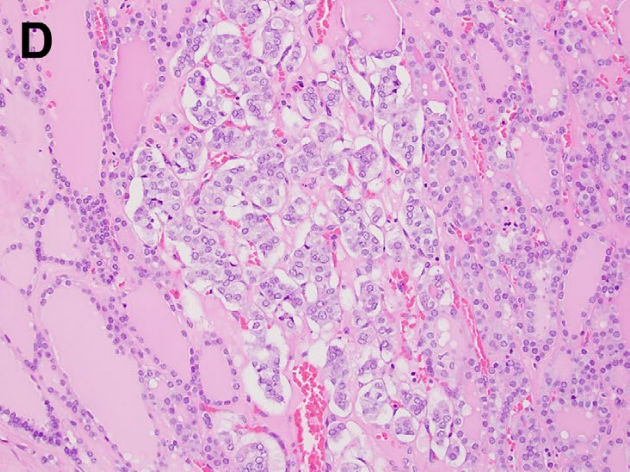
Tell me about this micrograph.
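Thyroid tissue in which follicles of varying size filled with pink colloid are lined by cuboidal follicular cells with small, round, dark nuclei. In the centre lies a patch of cells whose nuclei are enlarged, pale and overlapping, with cleared chromatin, arranged in small crowded follicles among thin-walled vessels containing red blood cells.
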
